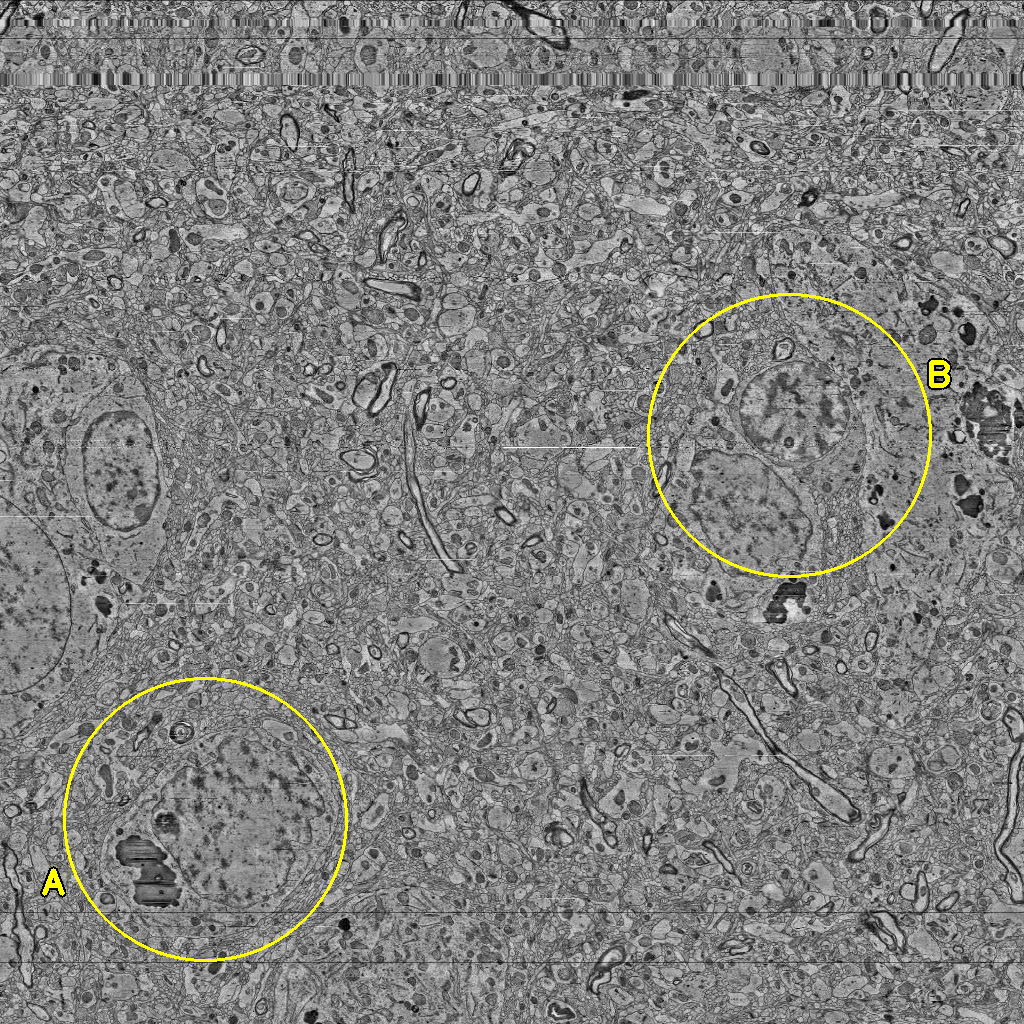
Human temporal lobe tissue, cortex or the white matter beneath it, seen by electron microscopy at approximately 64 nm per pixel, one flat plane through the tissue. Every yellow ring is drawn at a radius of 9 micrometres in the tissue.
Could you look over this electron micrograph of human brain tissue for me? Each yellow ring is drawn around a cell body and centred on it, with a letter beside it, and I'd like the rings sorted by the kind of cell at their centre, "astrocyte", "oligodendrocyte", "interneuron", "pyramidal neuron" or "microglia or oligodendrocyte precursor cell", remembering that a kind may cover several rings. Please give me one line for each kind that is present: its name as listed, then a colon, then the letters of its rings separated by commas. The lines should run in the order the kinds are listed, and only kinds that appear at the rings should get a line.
oligodendrocyte: B
interneuron: A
